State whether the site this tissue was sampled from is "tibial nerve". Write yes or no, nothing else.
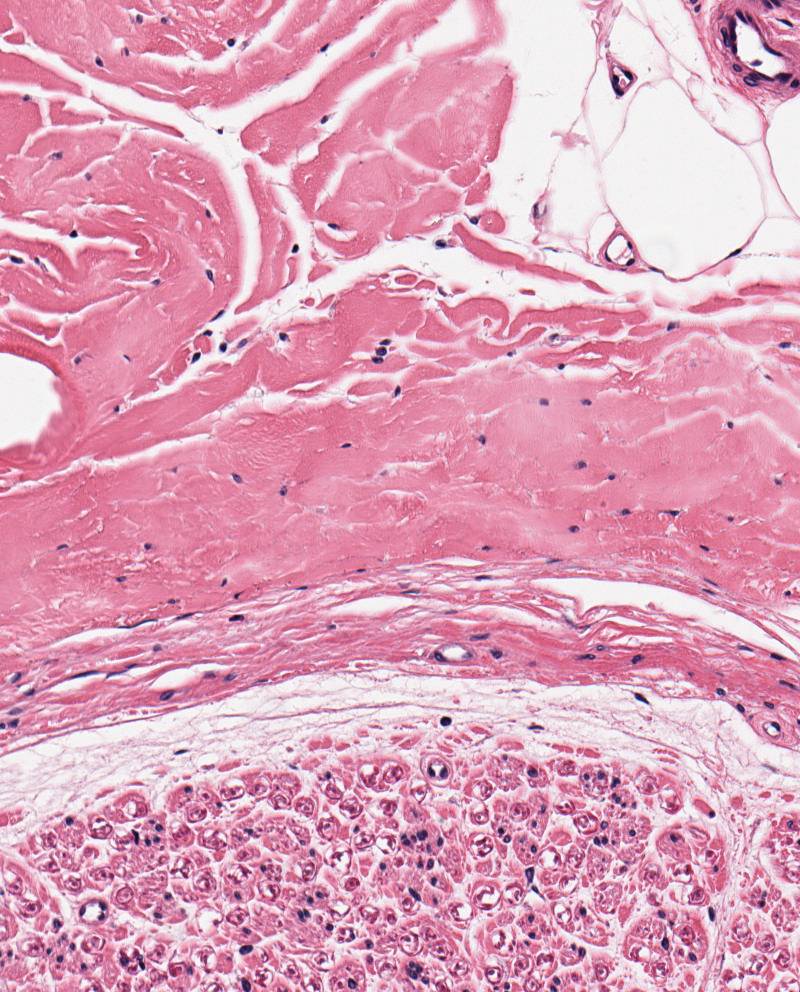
yes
